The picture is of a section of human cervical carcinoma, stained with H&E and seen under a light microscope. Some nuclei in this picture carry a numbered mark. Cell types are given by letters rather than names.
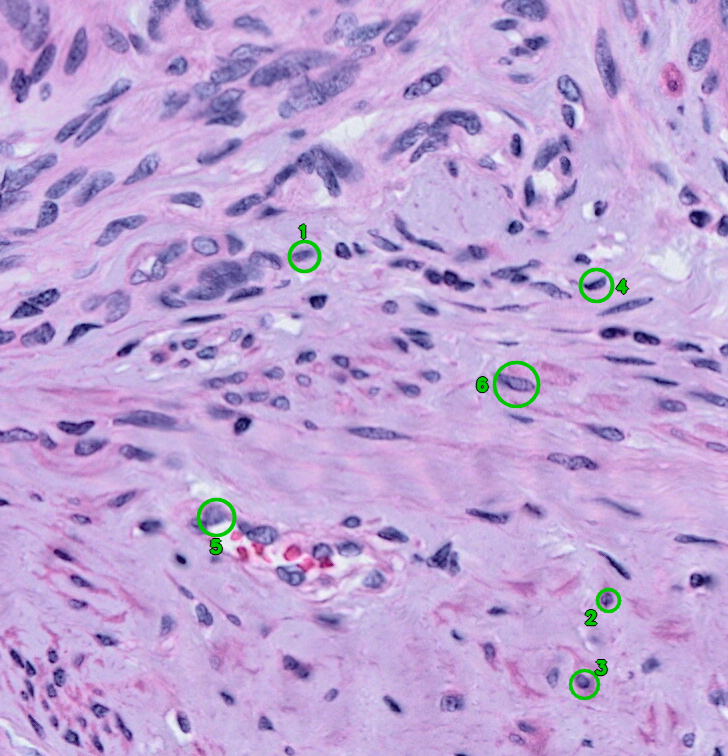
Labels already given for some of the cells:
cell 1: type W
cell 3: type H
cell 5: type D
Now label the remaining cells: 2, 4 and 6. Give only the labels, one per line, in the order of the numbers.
type H
type W
type H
